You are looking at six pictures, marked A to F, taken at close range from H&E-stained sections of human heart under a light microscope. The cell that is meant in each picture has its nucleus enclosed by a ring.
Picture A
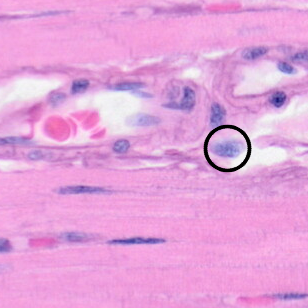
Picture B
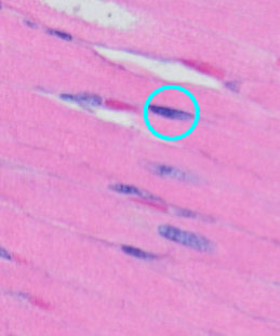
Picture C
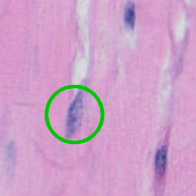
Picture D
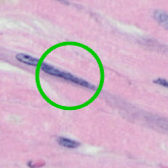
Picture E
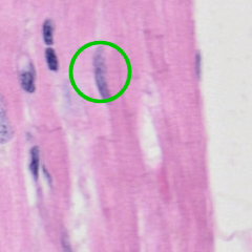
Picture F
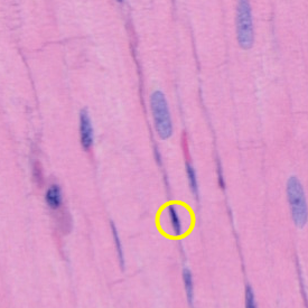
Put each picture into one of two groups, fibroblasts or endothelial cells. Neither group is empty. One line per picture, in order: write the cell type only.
fibroblast
fibroblast
fibroblast
endothelial cell
endothelial cell
endothelial cell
